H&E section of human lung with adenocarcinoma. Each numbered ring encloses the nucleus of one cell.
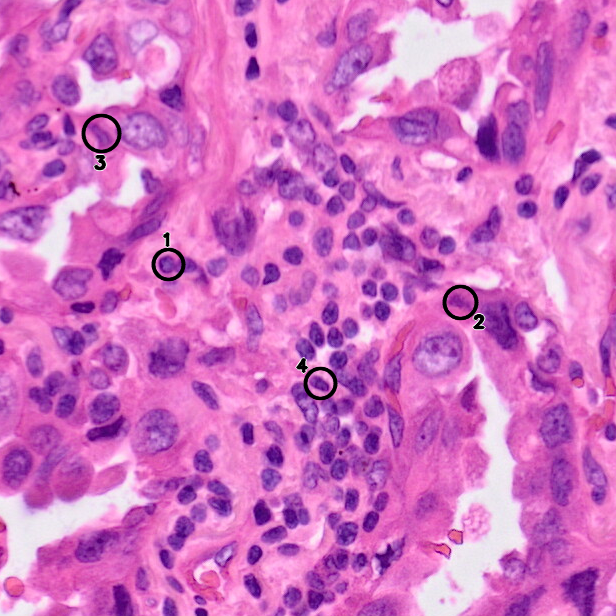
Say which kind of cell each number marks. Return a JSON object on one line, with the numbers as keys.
{"1": "mast cell", "2": "carcinoma cell", "3": "carcinoma cell", "4": "lymphocyte"}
